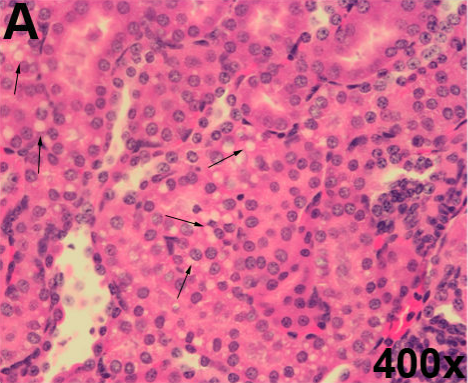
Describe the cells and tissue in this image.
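This is kidney cortex with tightly packed tubules lined by cuboidal epithelial cells that have round, centrally placed purple nuclei and pink cytoplasm. In several tubules the epithelial cytoplasm is filled with small, round, clear vacuoles, giving those cells a bubbly look beside neighbouring tubules that lack them. Narrow interstitial spaces and a few slit-like lumens separate the tubules, and some small flattened nuclei lie between them.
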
